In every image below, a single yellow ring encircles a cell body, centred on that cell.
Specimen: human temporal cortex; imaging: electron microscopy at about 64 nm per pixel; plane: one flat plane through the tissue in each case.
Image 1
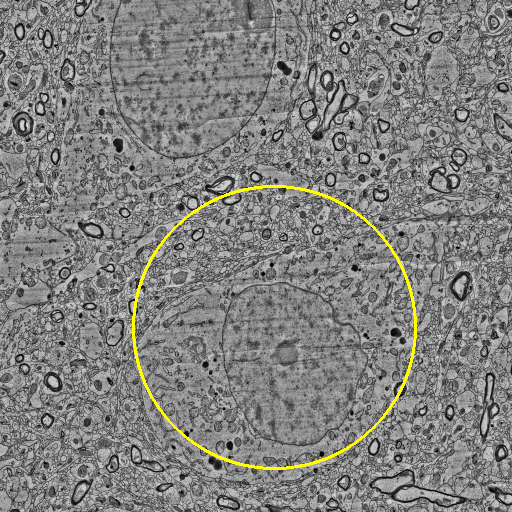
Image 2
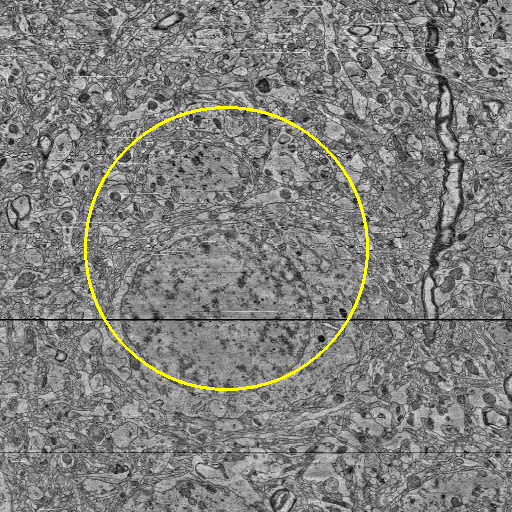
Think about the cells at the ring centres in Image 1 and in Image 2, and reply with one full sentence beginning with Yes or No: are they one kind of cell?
No, the cells centred in the rings of Image 1 and Image 2 are two kinds of cell.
